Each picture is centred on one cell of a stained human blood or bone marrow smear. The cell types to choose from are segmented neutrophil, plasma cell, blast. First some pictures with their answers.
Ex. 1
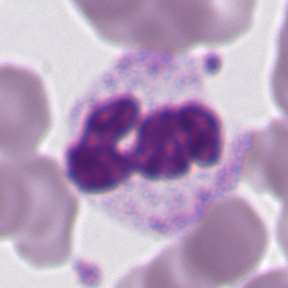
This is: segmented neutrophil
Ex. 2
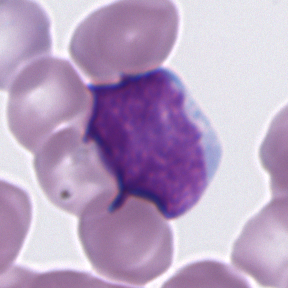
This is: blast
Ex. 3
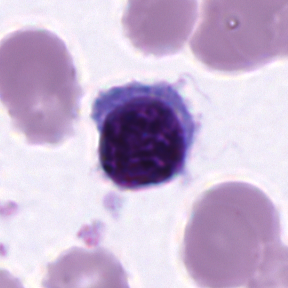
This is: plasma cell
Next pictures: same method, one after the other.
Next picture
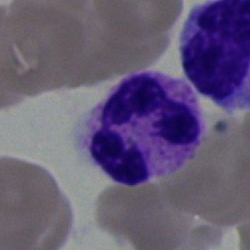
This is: segmented neutrophil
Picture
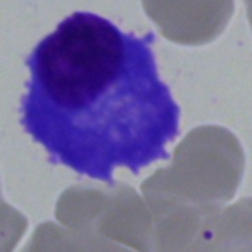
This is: plasma cell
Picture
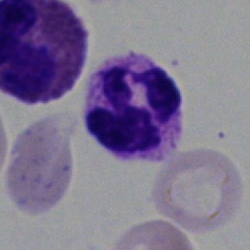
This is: segmented neutrophil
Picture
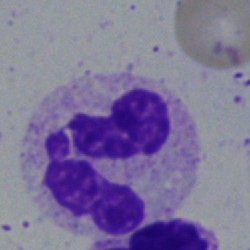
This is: segmented neutrophil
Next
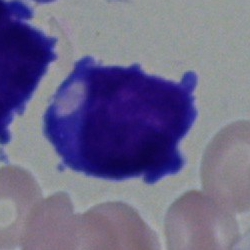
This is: blast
